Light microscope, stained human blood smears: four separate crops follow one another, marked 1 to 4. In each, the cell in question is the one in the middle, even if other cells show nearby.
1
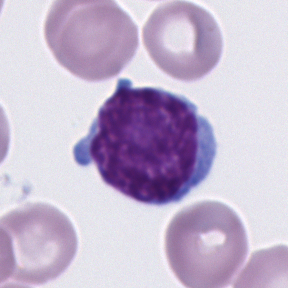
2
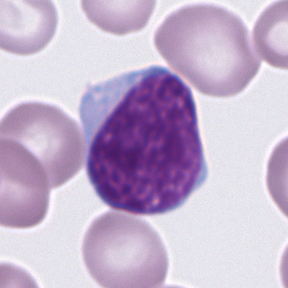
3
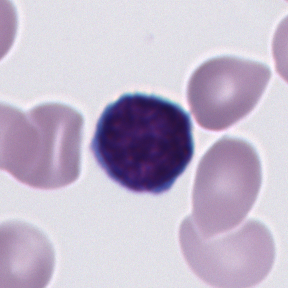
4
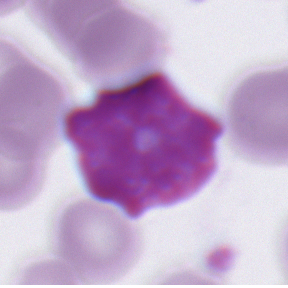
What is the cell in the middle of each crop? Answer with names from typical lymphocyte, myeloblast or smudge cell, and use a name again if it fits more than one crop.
1: typical lymphocyte
2: typical lymphocyte
3: typical lymphocyte
4: smudge cell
